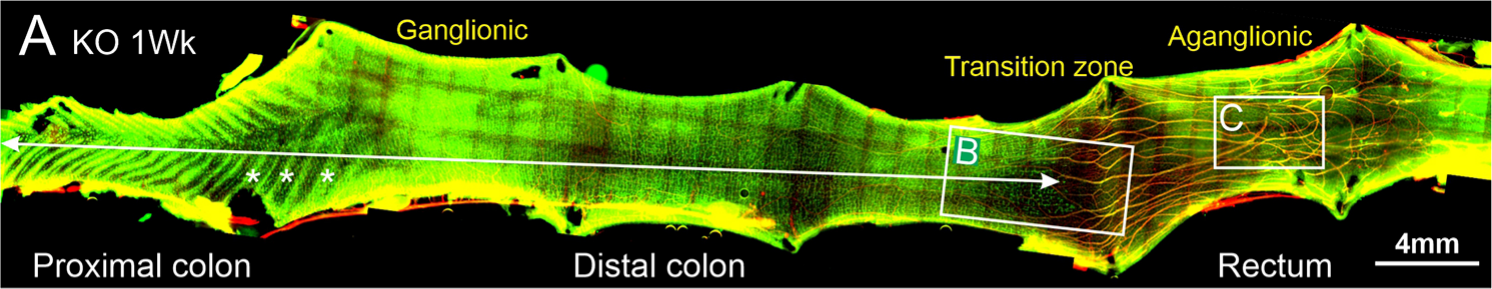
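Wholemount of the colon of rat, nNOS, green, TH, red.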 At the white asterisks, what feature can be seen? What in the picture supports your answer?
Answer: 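Mucosal folds. Regular oblique dark and light stripes cross the wall where the asterisks lie.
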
